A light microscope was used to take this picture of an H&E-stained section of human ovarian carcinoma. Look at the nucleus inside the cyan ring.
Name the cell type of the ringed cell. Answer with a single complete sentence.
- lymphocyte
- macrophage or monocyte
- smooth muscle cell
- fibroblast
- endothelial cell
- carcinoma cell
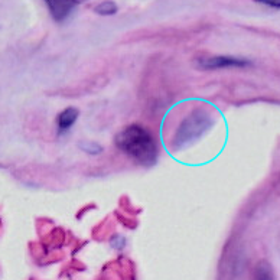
What the ringed cell represents is an endothelial cell.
